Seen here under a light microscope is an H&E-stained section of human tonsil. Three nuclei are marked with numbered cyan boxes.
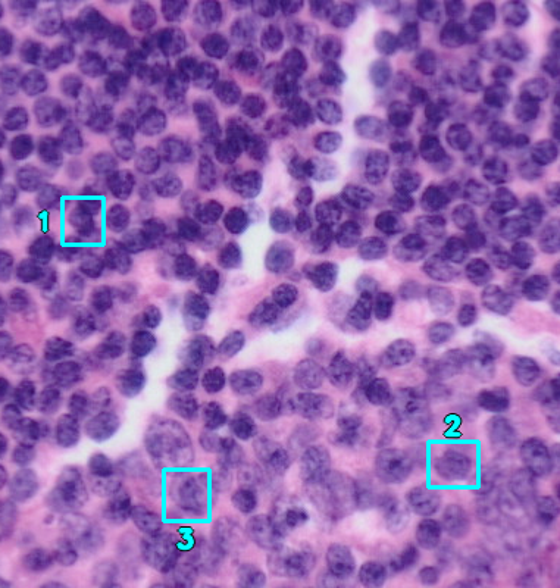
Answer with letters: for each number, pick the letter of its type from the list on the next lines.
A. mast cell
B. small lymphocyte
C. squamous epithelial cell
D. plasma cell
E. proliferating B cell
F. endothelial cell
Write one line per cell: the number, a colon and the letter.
1: B
2: E
3: E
